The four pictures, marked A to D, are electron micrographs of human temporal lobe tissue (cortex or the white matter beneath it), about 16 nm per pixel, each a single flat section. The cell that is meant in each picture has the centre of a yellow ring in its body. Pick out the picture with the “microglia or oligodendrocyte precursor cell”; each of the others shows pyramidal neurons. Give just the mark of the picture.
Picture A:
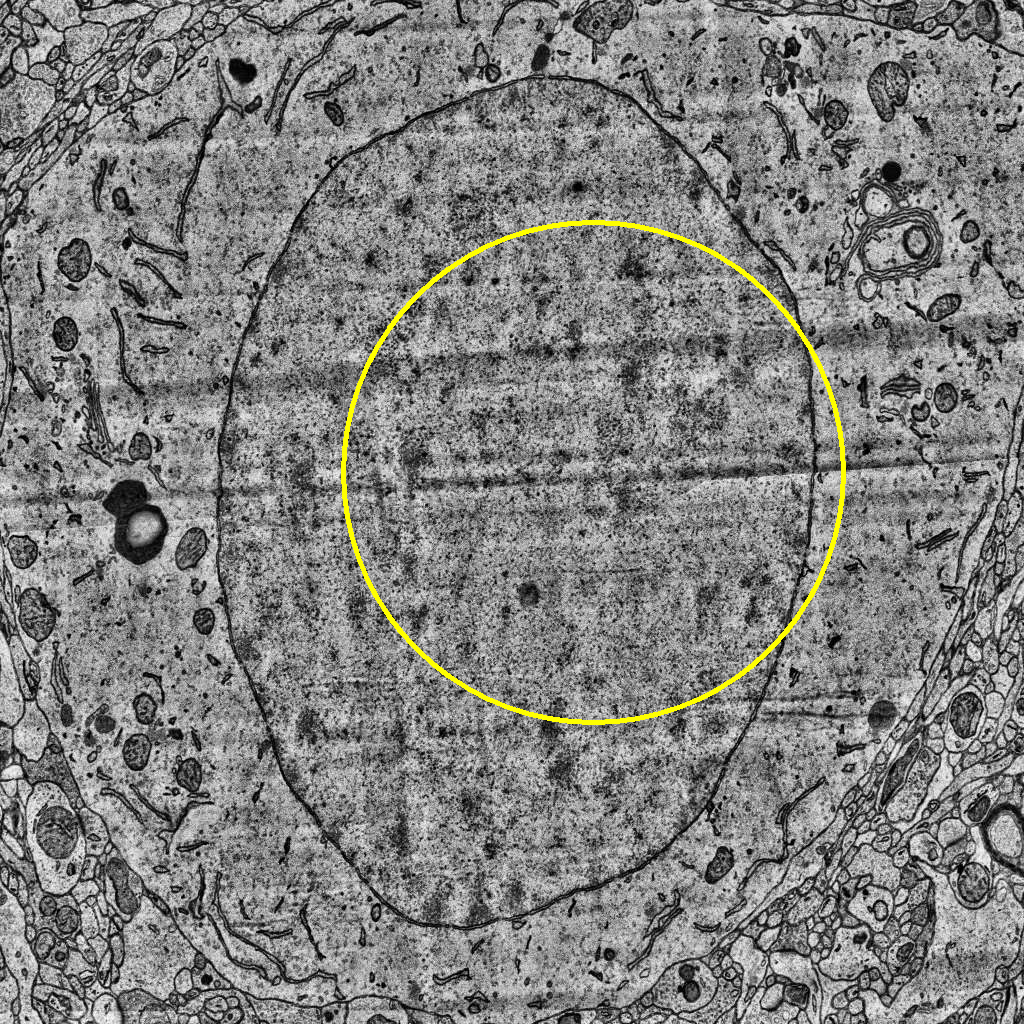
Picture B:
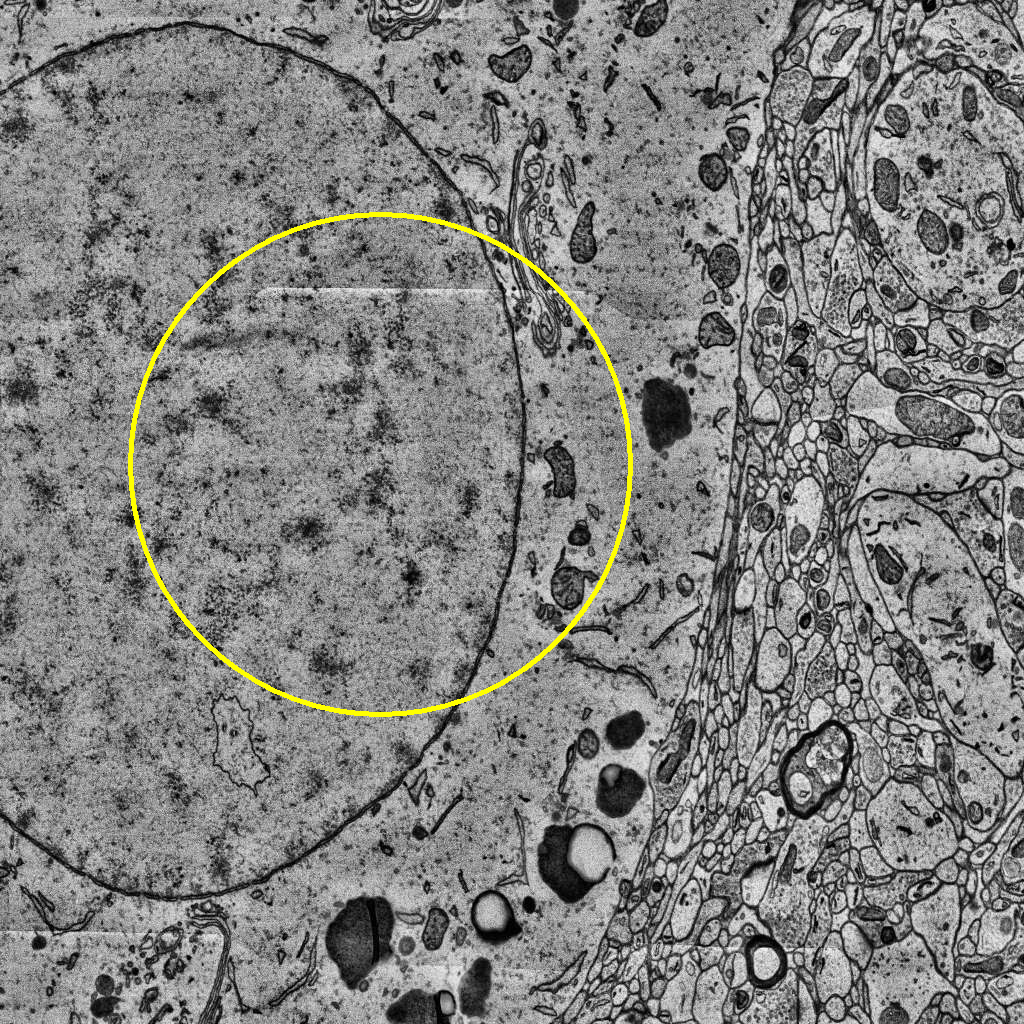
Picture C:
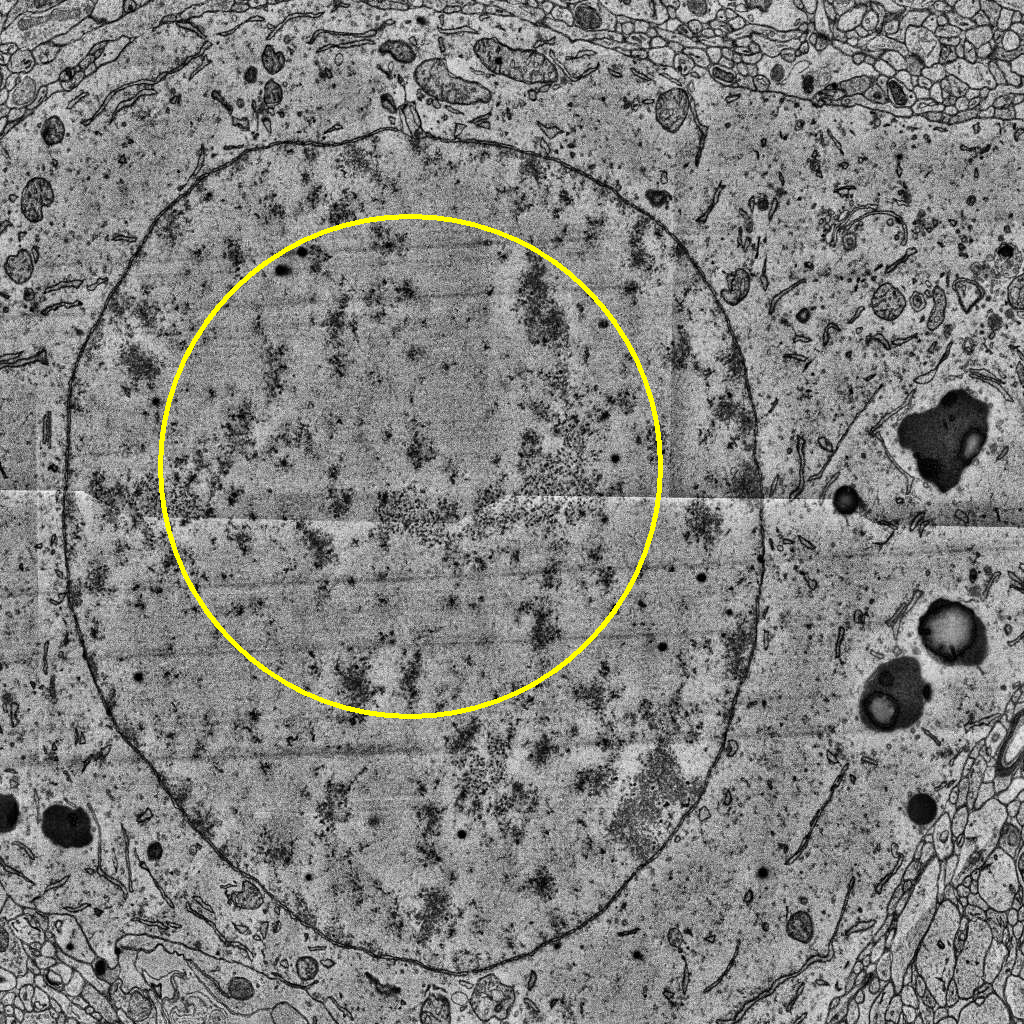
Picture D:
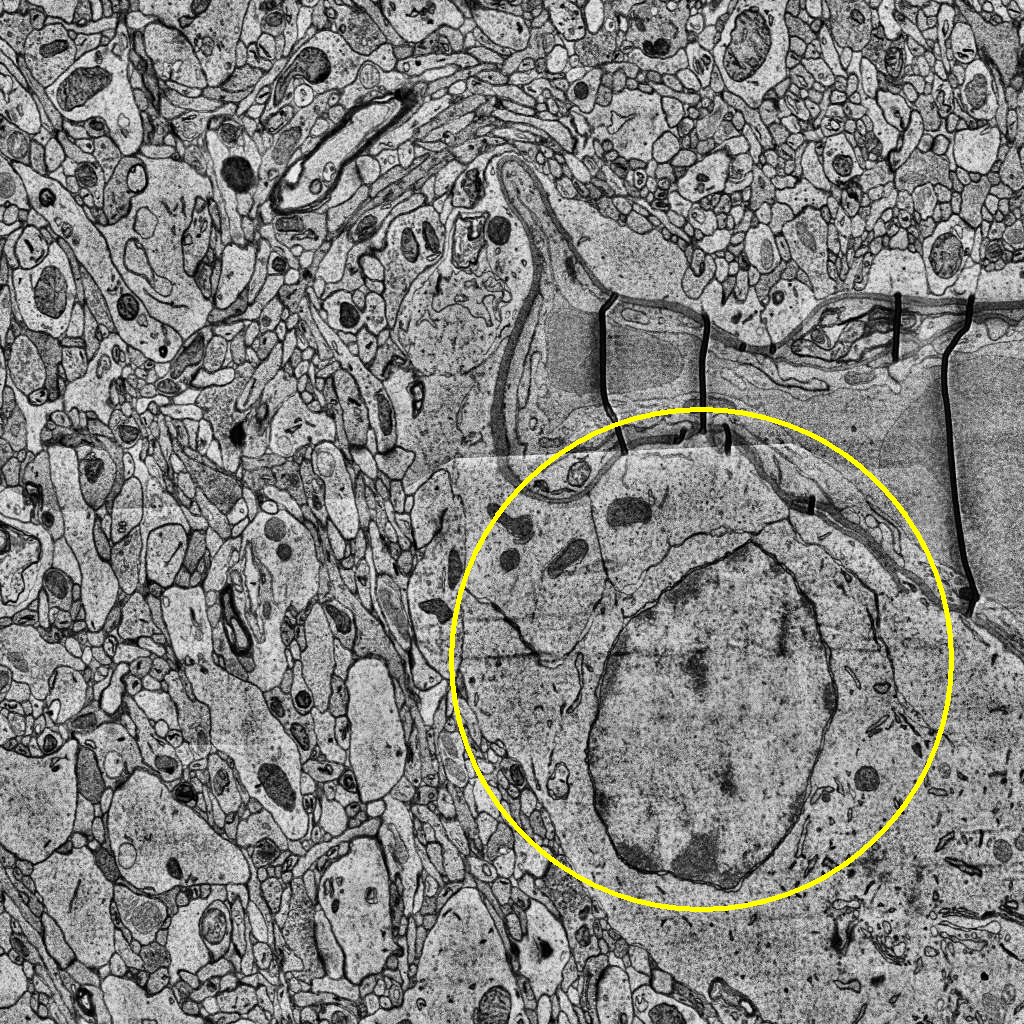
D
